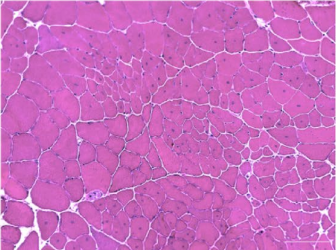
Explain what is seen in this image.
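This is a cross-section of skeletal muscle, with the myofibres cut across as pink polygonal profiles outlined by thin pale lines. The fibres are strikingly unequal in size: one region holds a cluster of many small fibres pressed between much larger ones. Clear white spaces open between some fibres, especially at the lower edge.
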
